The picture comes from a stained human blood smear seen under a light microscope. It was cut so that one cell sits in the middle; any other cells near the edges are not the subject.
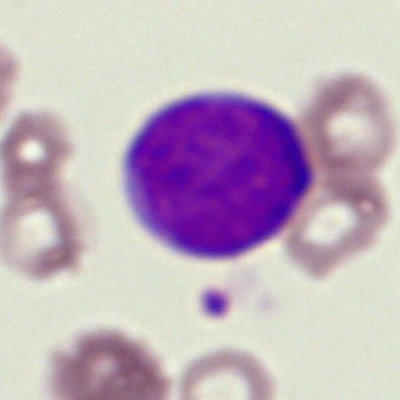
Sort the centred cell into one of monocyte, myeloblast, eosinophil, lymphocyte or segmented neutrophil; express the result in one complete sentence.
The cell at the centre of the field is a myeloblast.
